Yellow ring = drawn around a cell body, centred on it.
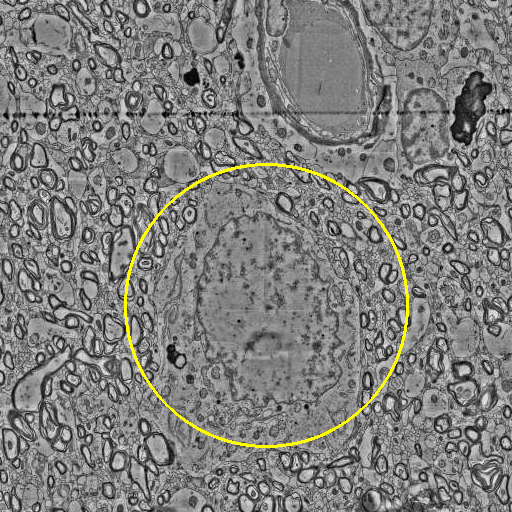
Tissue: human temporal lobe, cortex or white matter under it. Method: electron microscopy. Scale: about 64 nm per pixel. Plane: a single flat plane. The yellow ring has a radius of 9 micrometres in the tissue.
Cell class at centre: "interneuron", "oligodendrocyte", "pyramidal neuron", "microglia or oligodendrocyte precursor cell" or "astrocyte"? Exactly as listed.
interneuron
